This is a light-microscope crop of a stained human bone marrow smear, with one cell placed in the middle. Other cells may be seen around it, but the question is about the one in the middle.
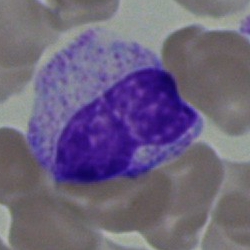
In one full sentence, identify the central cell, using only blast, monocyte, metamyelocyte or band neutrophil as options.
For this crop, the central cell is a band neutrophil.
